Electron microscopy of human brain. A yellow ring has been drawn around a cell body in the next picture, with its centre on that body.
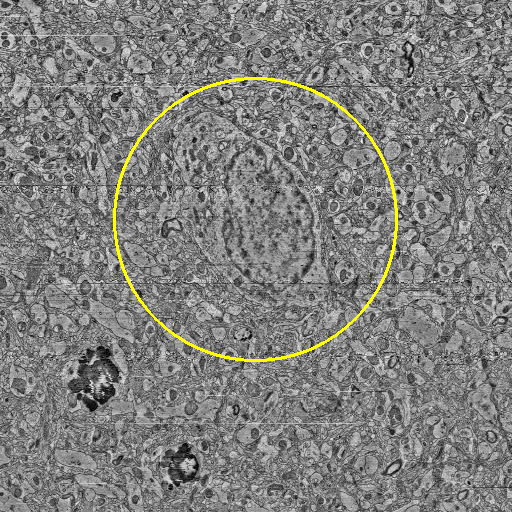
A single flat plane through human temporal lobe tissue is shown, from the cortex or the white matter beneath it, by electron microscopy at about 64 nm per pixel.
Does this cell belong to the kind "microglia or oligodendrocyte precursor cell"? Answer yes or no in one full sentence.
No, the ringed cell in this picture, sitting at the ring's centre, is of another kind.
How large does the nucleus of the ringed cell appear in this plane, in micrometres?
About 10 by 6 micrometres, the nucleus being clearly longer than it is wide in this plane.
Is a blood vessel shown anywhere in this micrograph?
No, there is no blood vessel.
